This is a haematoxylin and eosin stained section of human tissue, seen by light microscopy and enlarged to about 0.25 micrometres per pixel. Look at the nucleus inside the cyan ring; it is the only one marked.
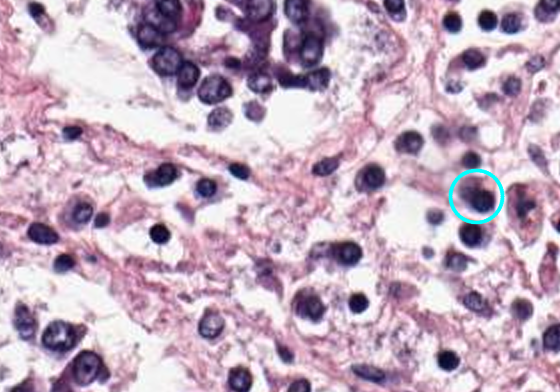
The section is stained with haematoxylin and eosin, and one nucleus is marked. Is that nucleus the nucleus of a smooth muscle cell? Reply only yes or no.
no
